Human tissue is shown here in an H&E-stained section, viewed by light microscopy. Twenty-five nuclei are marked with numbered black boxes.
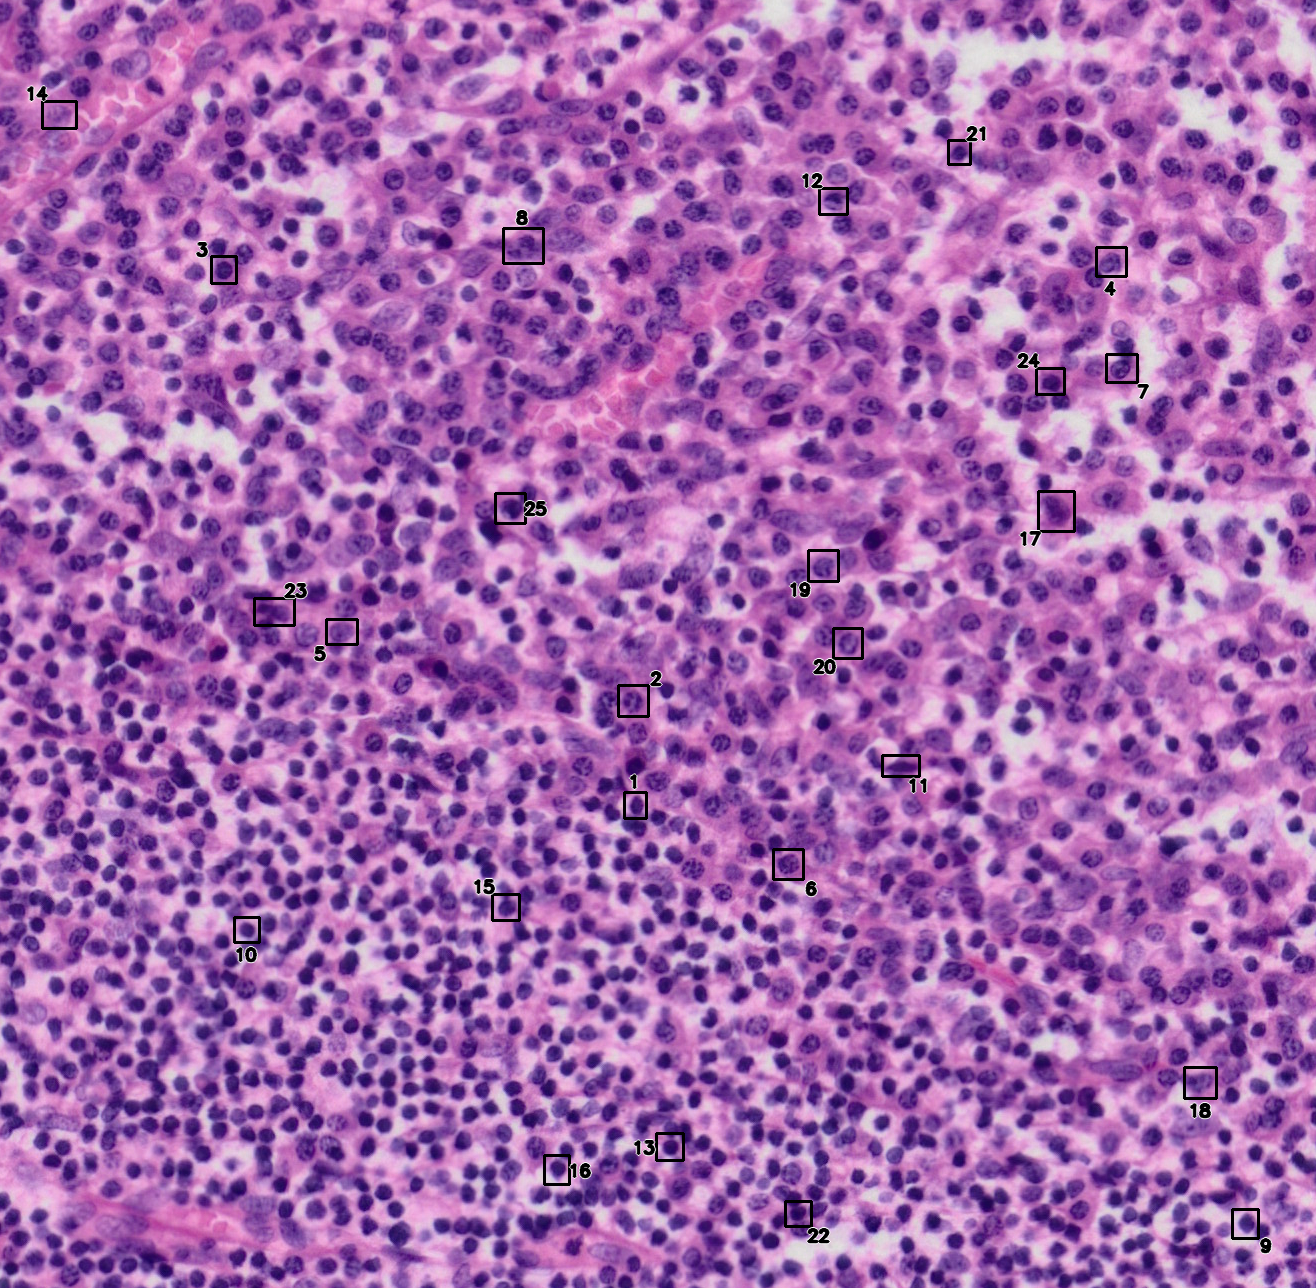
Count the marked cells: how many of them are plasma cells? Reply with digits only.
12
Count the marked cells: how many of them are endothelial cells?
1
